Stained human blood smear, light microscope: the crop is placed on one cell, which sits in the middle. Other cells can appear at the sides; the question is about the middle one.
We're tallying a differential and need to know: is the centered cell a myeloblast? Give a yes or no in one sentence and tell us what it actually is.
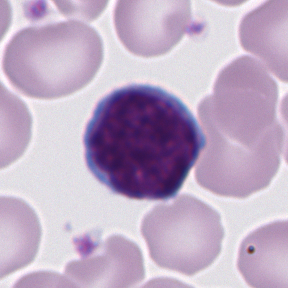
No, in this crop the middle cell is a typical lymphocyte, not a myeloblast.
